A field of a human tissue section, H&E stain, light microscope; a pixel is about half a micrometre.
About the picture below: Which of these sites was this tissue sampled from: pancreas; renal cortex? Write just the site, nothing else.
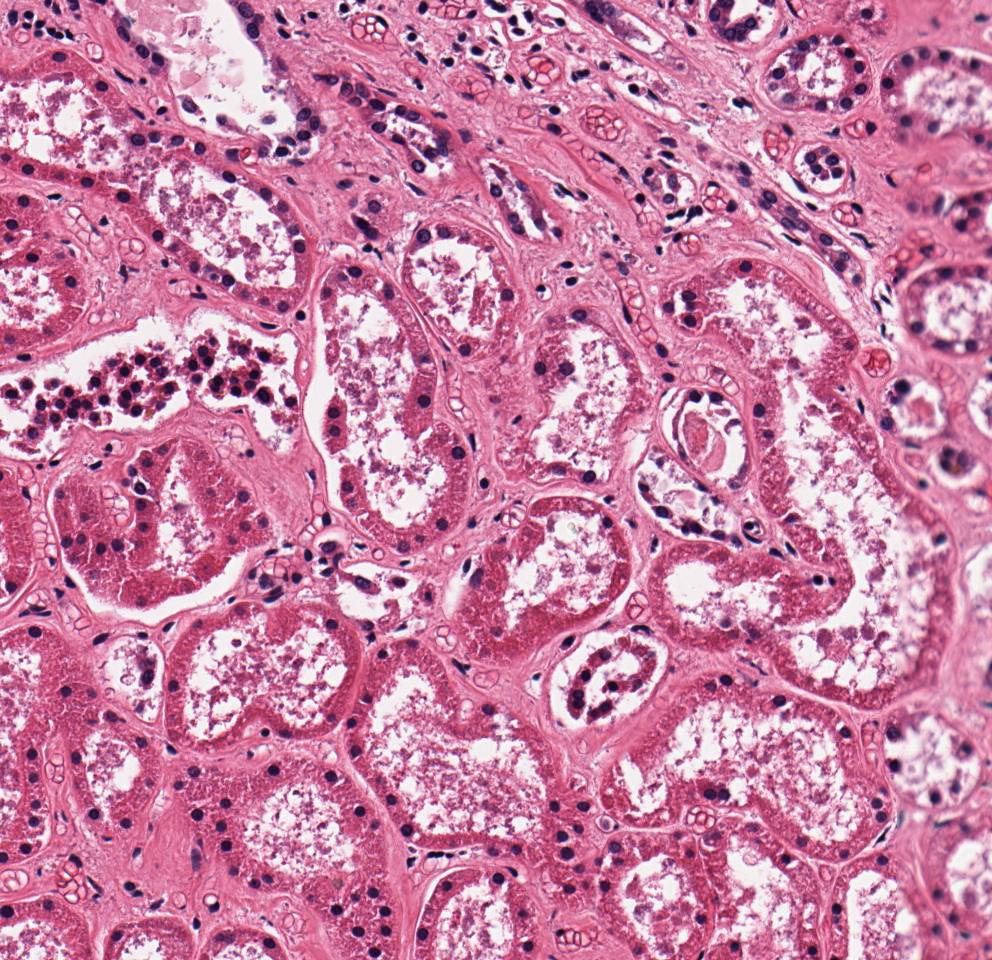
renal cortex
